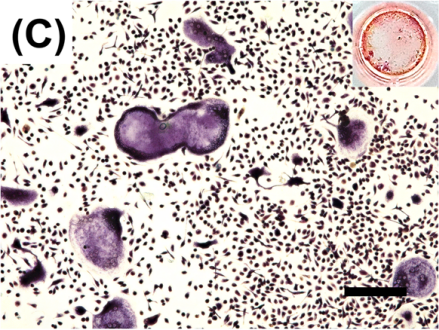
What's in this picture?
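Here a few osteoclasts appear as large purple-stained cells set in a crowded field of small mononuclear cells. The small cells in the background are densely packed, round or spindle-shaped, some with thin processes. The large purple cells are spaced apart from one another, each surrounded by the small cells.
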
